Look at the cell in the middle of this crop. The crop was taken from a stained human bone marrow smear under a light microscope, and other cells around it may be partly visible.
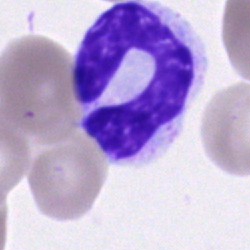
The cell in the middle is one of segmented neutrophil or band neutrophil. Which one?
band neutrophil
